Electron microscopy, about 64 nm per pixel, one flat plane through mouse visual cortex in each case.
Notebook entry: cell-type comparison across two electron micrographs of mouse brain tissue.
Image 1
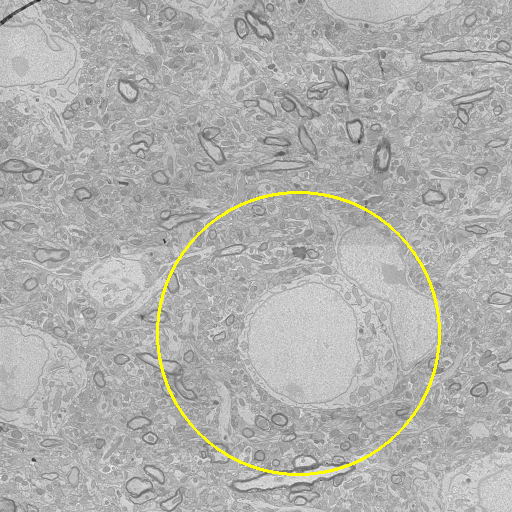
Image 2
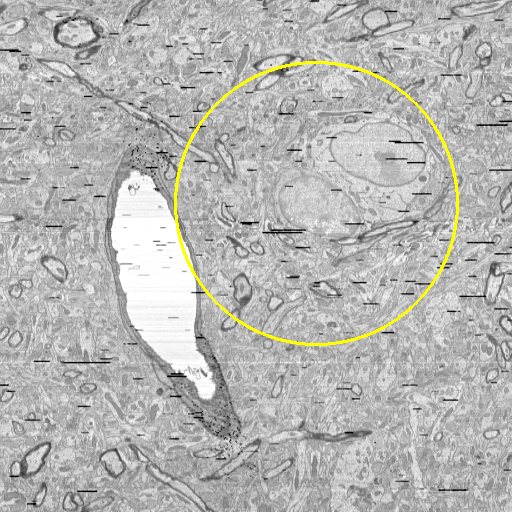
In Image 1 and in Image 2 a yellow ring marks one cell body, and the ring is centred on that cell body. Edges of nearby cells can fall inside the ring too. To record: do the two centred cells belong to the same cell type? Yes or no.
no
